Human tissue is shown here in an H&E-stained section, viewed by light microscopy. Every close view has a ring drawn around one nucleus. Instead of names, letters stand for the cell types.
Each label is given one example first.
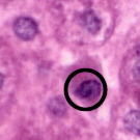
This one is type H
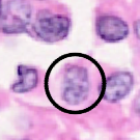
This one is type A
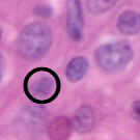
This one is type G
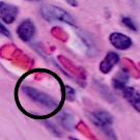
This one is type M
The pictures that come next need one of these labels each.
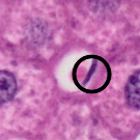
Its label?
type M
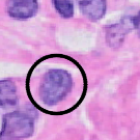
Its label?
type A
